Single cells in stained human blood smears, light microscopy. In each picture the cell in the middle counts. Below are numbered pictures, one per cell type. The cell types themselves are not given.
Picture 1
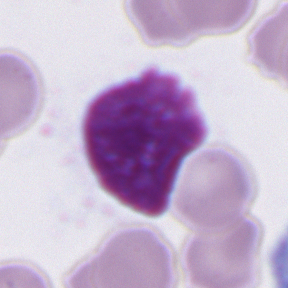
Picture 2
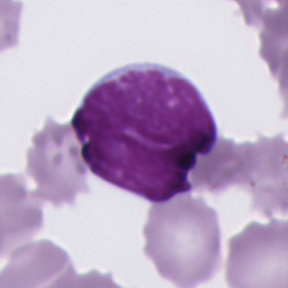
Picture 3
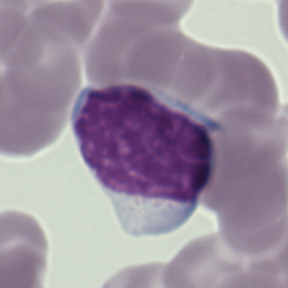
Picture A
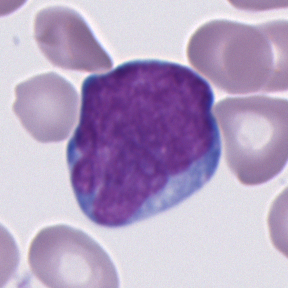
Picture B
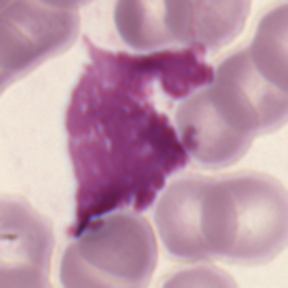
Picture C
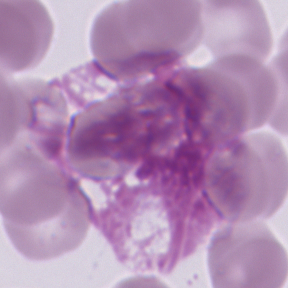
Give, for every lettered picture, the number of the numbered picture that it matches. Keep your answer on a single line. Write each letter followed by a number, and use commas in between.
A 2, B 1, C 1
